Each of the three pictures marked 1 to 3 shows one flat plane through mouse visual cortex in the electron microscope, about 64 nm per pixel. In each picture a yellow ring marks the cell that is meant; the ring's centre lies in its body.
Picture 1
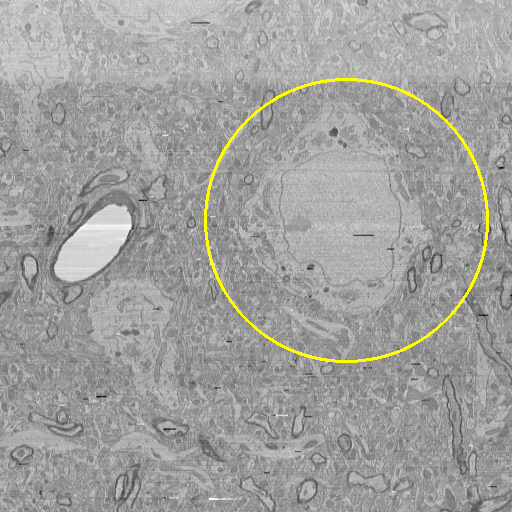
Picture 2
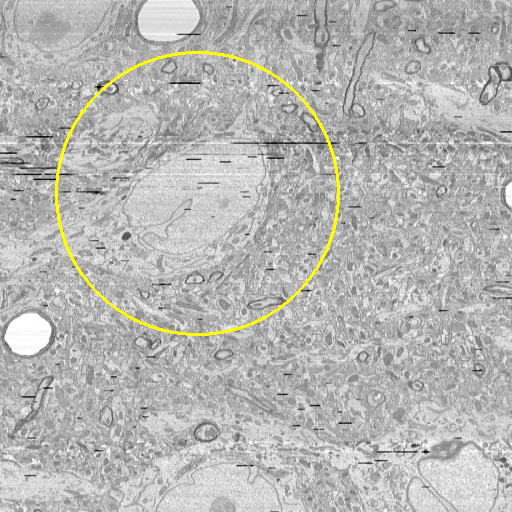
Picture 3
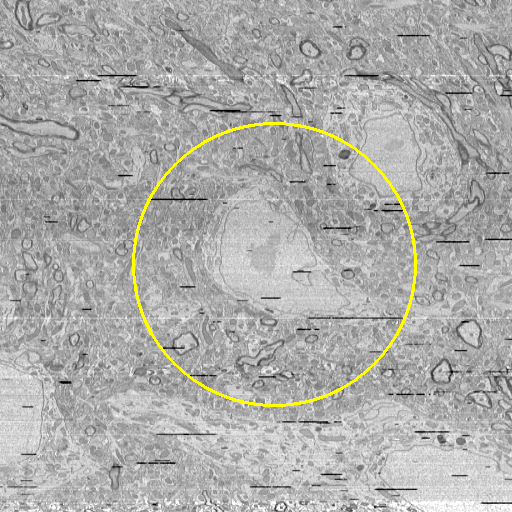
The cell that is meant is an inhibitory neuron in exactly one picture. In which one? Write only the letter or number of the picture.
3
